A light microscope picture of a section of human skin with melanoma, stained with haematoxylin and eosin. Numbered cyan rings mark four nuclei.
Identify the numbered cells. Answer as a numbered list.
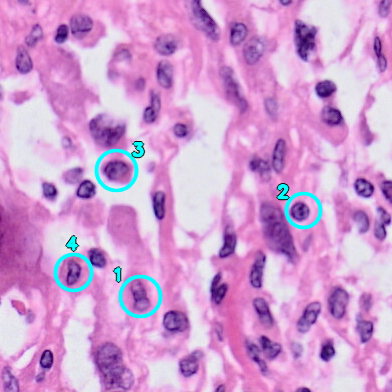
1. macrophage or monocyte
2. lymphocyte
3. macrophage or monocyte
4. macrophage or monocyte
